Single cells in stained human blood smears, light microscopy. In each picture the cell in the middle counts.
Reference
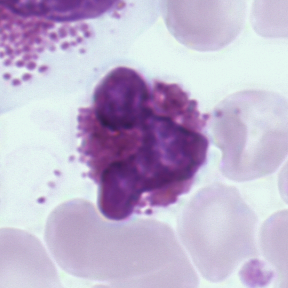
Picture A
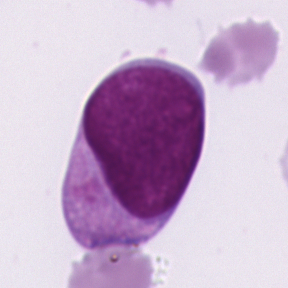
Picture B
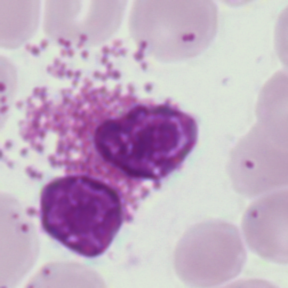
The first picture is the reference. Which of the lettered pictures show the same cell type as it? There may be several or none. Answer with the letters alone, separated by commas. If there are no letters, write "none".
B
